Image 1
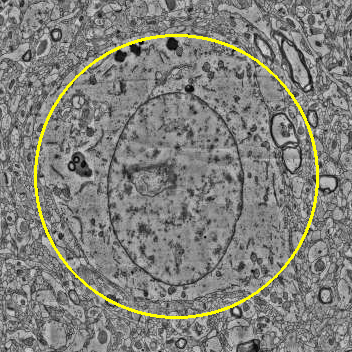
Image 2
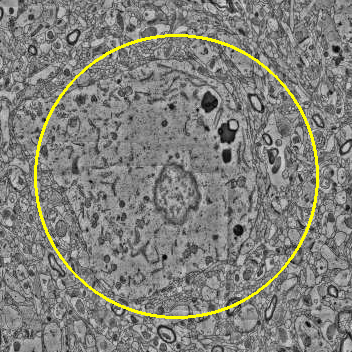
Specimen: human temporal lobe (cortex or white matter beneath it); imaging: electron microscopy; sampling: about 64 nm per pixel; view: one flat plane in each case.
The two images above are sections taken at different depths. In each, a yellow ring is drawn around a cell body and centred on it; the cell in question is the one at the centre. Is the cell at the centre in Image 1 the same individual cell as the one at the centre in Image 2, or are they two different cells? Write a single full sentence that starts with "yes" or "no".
Yes, what the two rings mark is one cell.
